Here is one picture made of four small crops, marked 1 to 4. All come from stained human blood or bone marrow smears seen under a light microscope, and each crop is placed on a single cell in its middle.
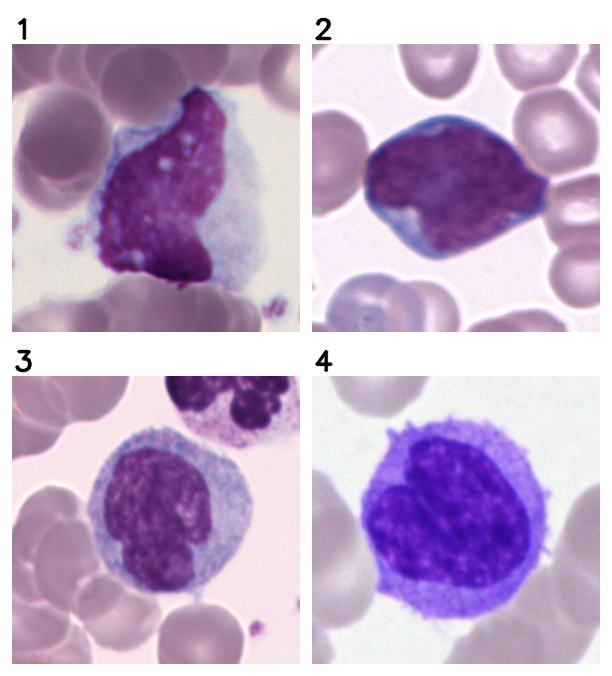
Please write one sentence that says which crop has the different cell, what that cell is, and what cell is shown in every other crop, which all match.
Crop 2 presents a blast, while monocytes are presented by all other crops.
